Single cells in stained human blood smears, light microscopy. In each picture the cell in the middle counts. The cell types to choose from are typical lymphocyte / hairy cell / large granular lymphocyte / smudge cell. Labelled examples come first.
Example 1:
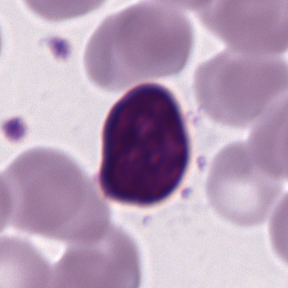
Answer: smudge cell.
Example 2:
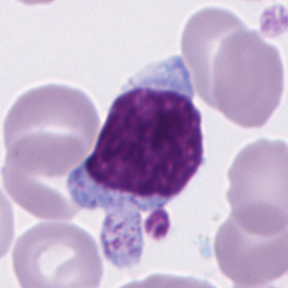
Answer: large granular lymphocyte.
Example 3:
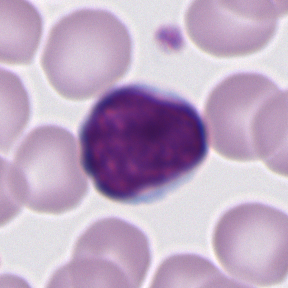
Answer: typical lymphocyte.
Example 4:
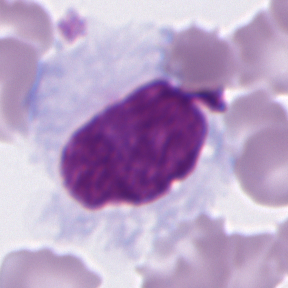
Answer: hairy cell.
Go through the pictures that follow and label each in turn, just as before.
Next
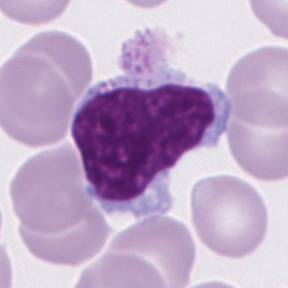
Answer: large granular lymphocyte.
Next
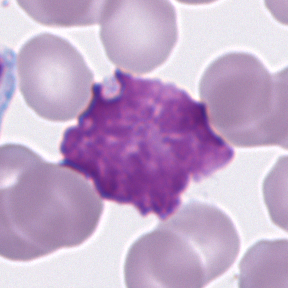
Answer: smudge cell.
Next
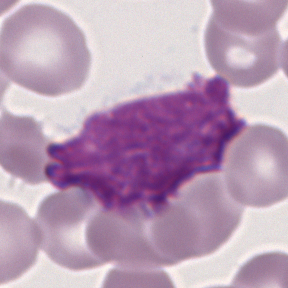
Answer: smudge cell.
